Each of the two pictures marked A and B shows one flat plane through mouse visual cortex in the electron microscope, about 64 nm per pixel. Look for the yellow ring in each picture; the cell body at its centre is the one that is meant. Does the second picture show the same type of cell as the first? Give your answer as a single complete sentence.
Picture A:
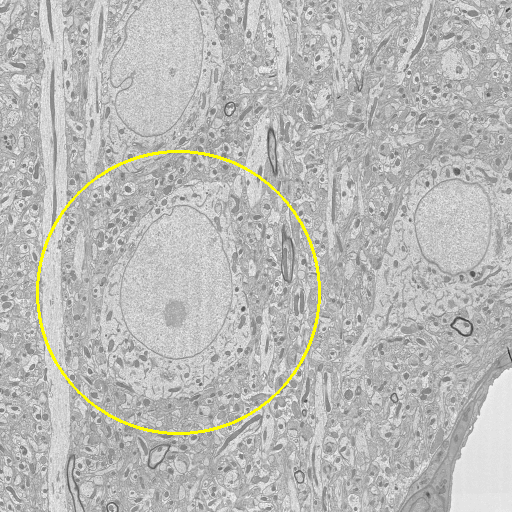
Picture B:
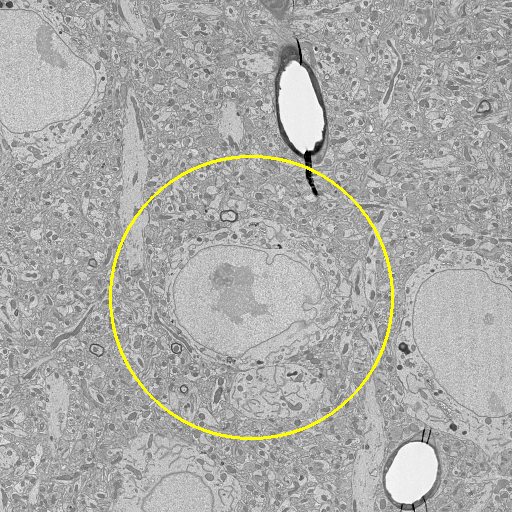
No; the cell in picture A is an excitatory neuron, while the one in picture B is an inhibitory neuron.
